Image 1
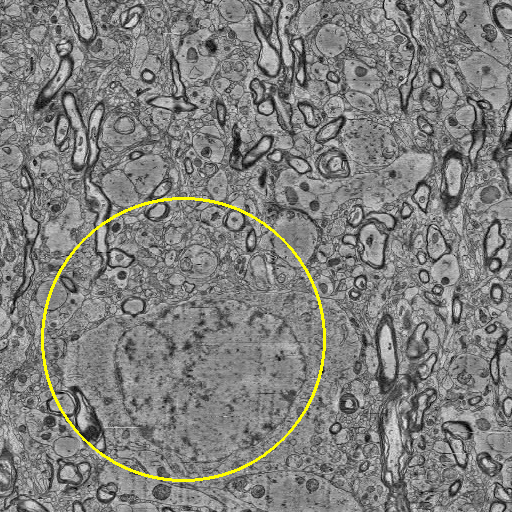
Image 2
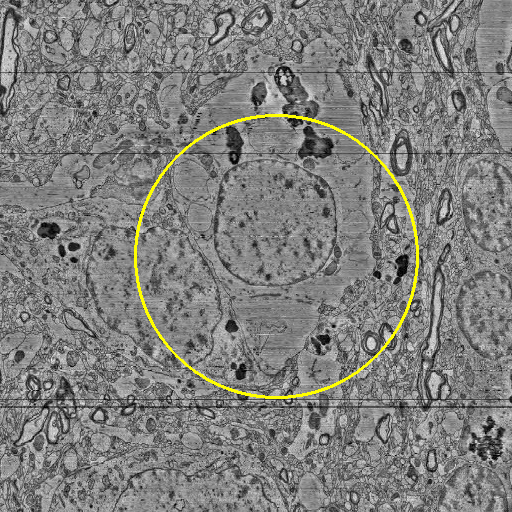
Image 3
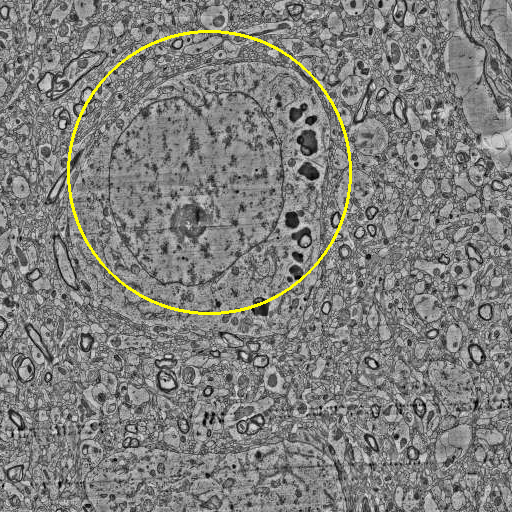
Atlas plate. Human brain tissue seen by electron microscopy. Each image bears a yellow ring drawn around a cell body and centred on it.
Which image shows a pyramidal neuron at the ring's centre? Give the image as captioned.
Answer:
Image 3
